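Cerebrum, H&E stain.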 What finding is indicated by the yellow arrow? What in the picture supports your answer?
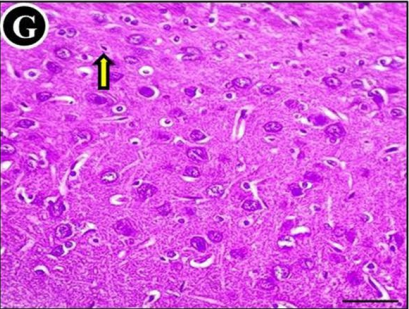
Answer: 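The arrow points at a small, dark, condensed cell. Its profile is smaller than that of neighbouring neurons with round pale nuclei.
Conclusion: shrunken apoptotic neurons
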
